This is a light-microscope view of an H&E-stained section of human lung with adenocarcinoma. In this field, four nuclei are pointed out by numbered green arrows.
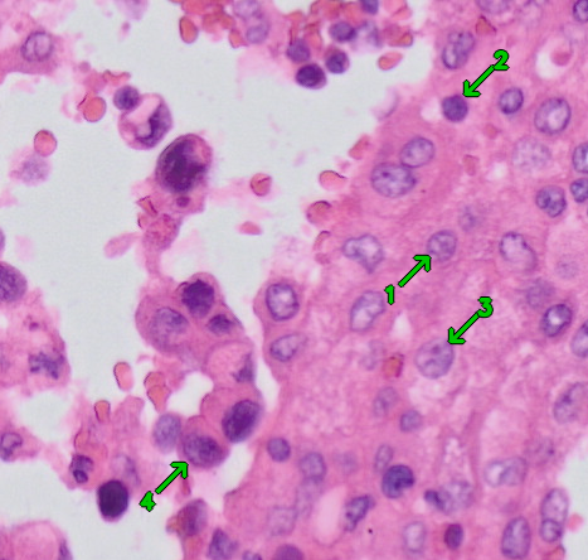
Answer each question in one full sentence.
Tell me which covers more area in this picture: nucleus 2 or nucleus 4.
Number 4 is larger; its area is about 2 times that of number 2.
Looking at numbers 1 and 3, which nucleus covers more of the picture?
At about 1.5 times the area of nucleus 1, nucleus 3 is the larger of the two.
